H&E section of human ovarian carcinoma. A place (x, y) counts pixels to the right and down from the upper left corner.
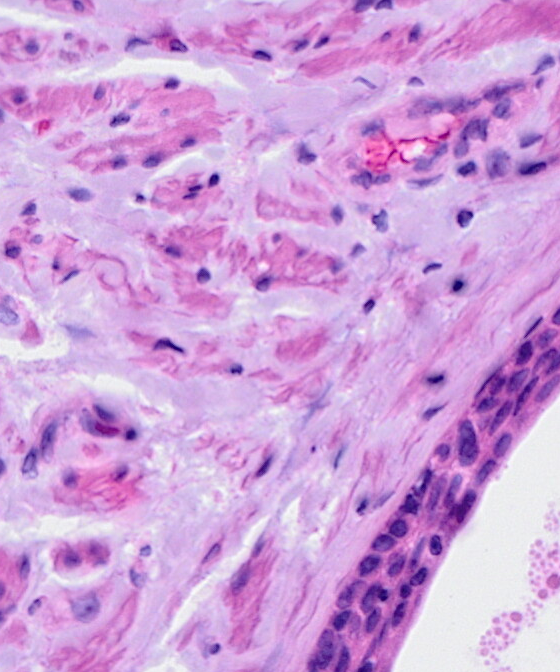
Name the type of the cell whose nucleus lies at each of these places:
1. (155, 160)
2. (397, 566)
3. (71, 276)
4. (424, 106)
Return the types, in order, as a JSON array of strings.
["smooth muscle cell", "carcinoma cell", "smooth muscle cell", "endothelial cell"]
